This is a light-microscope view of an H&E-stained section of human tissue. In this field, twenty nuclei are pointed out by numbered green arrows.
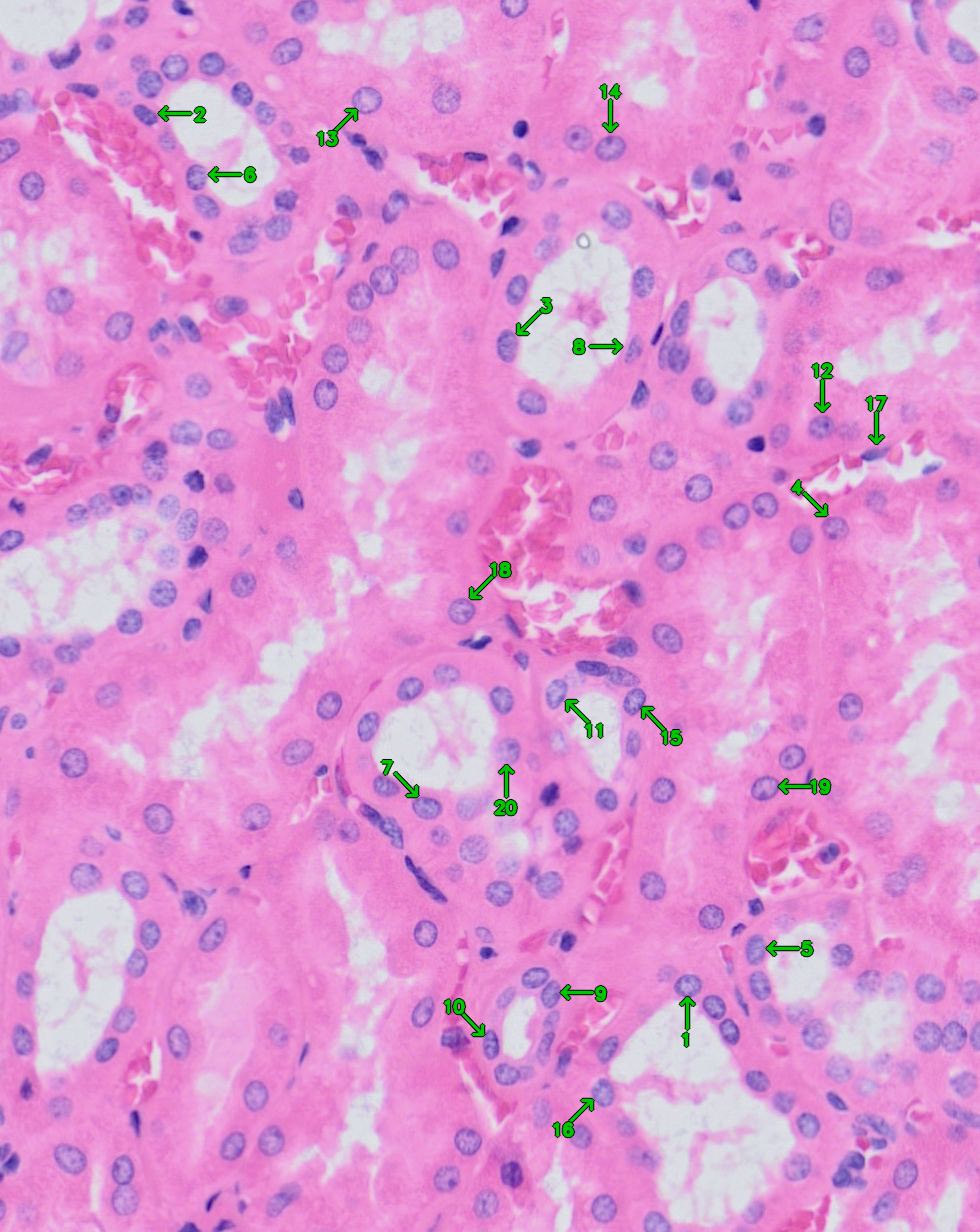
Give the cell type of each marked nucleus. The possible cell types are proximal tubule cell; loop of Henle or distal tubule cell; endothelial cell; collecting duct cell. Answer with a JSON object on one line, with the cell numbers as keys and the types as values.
{"1": "loop of Henle or distal tubule cell", "2": "collecting duct cell", "3": "loop of Henle or distal tubule cell", "4": "proximal tubule cell", "5": "loop of Henle or distal tubule cell", "6": "loop of Henle or distal tubule cell", "7": "loop of Henle or distal tubule cell", "8": "loop of Henle or distal tubule cell", "9": "collecting duct cell", "10": "collecting duct cell", "11": "collecting duct cell", "12": "proximal tubule cell", "13": "proximal tubule cell", "14": "proximal tubule cell", "15": "collecting duct cell", "16": "loop of Henle or distal tubule cell", "17": "endothelial cell", "18": "proximal tubule cell", "19": "proximal tubule cell", "20": "loop of Henle or distal tubule cell"}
